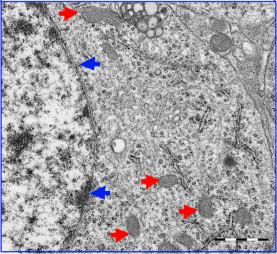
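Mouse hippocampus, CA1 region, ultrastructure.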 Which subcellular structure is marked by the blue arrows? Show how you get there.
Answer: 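Nuclear membrane. The blue arrows point at the boundary between a large pale nucleus and the surrounding cytoplasm. The nucleus on the left has finely granular chromatin, sharply bounded from the cytoplasm.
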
